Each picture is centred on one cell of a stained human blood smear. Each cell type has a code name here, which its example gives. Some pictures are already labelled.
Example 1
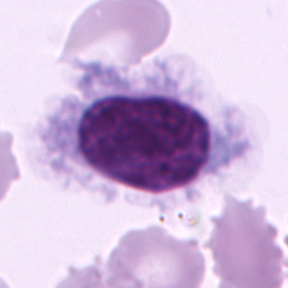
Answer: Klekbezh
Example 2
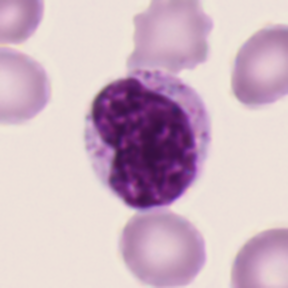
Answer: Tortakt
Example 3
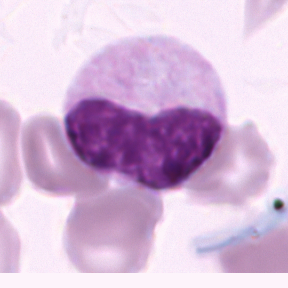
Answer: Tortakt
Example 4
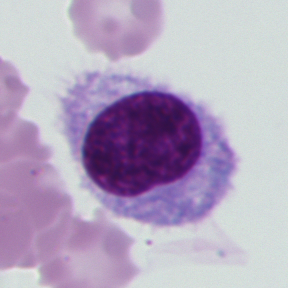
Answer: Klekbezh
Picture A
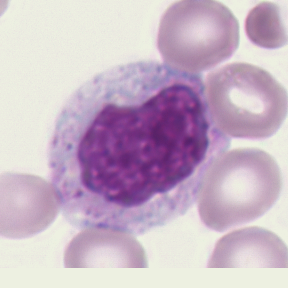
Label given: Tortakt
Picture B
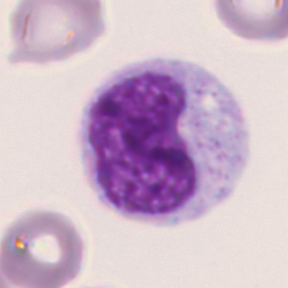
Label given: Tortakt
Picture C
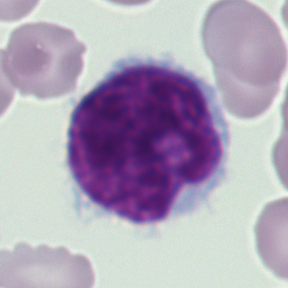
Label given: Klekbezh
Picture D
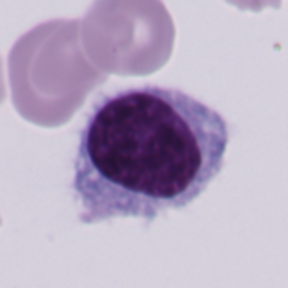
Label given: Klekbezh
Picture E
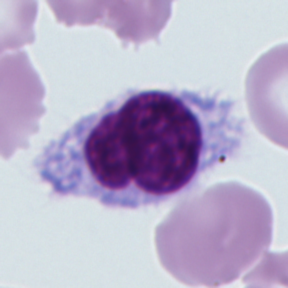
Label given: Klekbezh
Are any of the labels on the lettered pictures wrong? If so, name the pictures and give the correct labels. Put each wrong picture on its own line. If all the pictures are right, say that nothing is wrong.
No label is wrong.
